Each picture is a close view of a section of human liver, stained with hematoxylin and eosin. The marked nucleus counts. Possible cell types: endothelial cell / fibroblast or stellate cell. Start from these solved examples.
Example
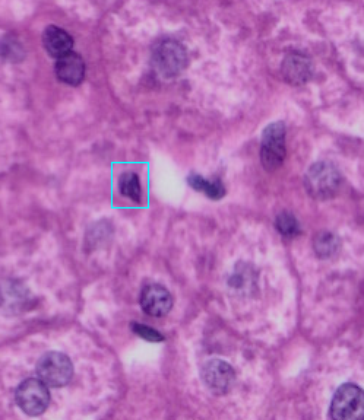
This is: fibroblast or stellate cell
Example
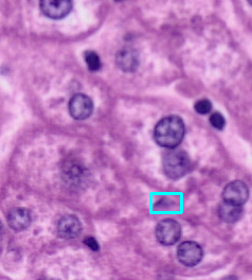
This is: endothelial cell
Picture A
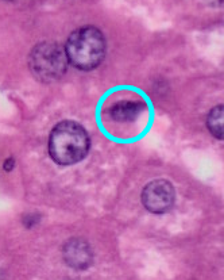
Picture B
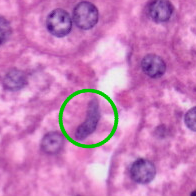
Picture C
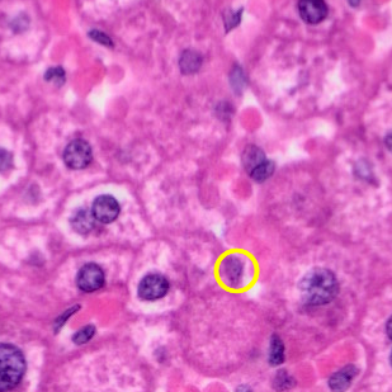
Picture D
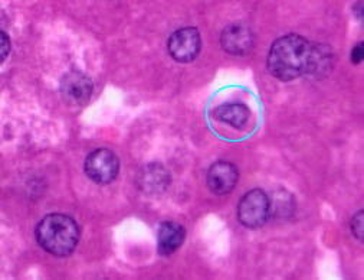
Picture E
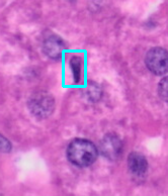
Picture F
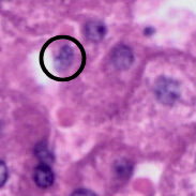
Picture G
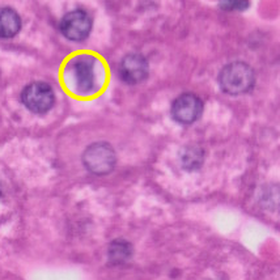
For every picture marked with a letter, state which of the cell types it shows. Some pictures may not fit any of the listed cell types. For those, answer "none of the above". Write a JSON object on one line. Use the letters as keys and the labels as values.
{"A": "fibroblast or stellate cell", "B": "none of the above", "C": "none of the above", "D": "none of the above", "E": "endothelial cell", "F": "none of the above", "G": "none of the above"}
